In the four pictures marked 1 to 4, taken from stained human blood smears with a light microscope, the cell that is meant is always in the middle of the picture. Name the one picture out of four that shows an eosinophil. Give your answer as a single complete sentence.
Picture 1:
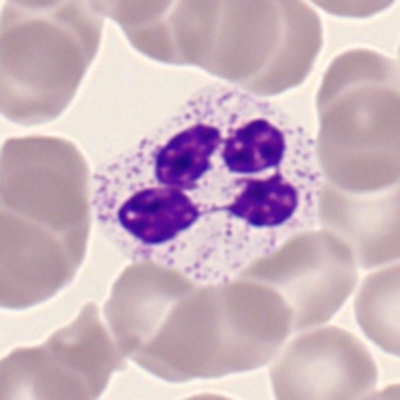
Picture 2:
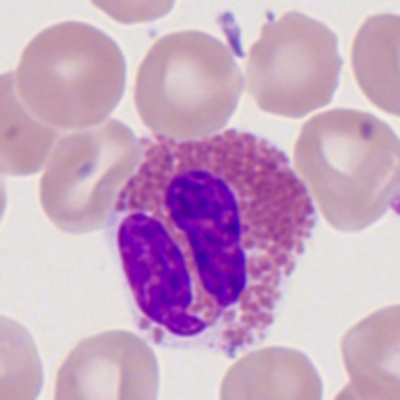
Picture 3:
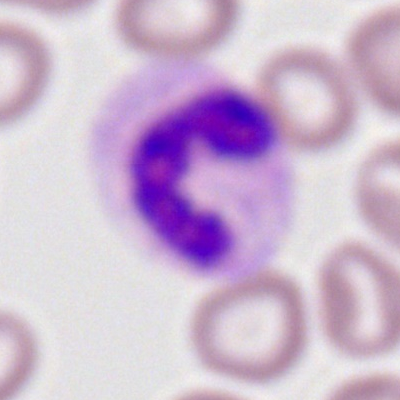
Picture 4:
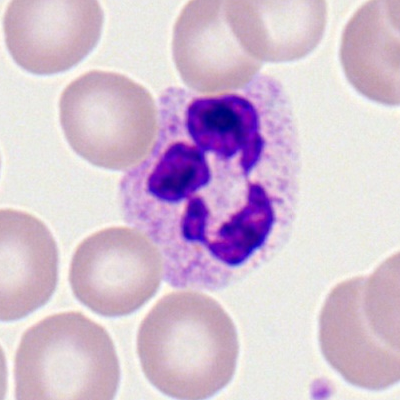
Picture 2 is the one that shows the eosinophil.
